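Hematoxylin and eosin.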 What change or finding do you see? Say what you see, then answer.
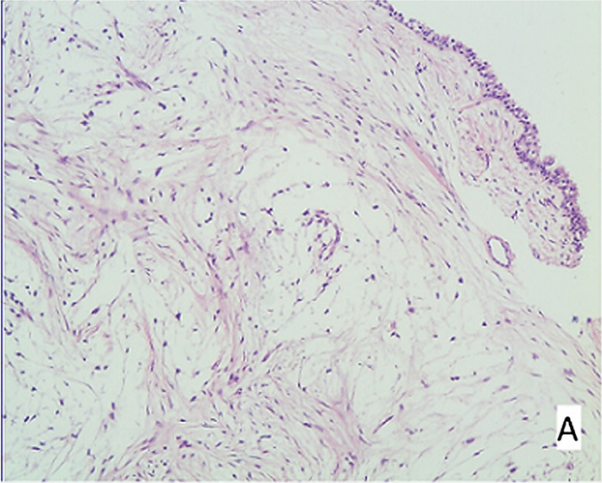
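Edematous and mucous-degenerated stroma. Wide pale, loose spaces separate thin pink fibres. Cells are sparse and widely spaced in a pale, watery-looking background.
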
